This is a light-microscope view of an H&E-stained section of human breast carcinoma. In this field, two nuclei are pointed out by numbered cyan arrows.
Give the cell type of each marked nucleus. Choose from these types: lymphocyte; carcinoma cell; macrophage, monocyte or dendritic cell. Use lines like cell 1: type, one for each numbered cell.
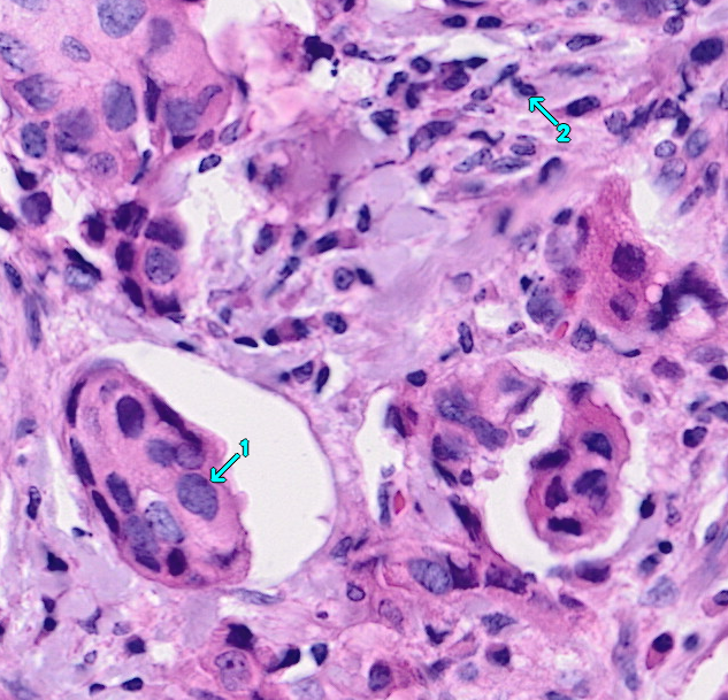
cell 1: carcinoma cell
cell 2: lymphocyte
